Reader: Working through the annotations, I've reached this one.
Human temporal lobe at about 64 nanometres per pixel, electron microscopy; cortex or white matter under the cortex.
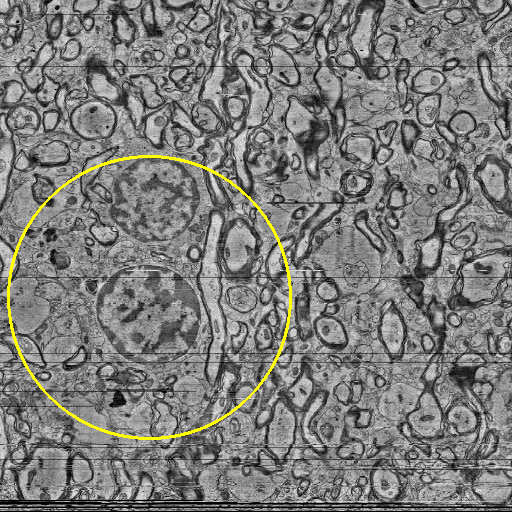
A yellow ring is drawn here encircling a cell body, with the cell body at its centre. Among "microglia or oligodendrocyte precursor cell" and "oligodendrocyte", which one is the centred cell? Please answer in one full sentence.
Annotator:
The cell body at the centre of the yellow ring in this image belongs to a microglial cell or oligodendrocyte precursor cell.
